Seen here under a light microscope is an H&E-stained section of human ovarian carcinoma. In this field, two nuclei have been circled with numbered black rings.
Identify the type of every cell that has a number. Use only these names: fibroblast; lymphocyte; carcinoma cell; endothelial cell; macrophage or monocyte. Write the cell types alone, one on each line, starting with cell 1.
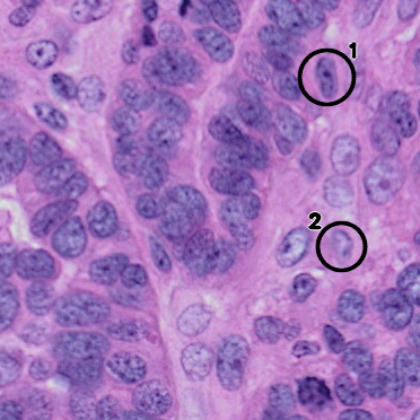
macrophage or monocyte
fibroblast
